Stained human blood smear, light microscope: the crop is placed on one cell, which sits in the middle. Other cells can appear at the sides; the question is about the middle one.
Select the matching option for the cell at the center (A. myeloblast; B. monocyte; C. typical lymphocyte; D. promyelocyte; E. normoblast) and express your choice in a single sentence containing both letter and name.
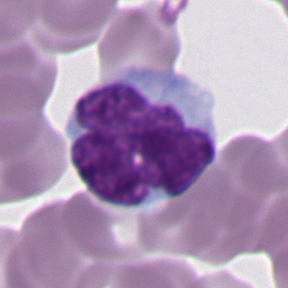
This one is option B, since the cell at the center is a monocyte.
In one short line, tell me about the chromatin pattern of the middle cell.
Its chromatin is clumped in a coarse pattern.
